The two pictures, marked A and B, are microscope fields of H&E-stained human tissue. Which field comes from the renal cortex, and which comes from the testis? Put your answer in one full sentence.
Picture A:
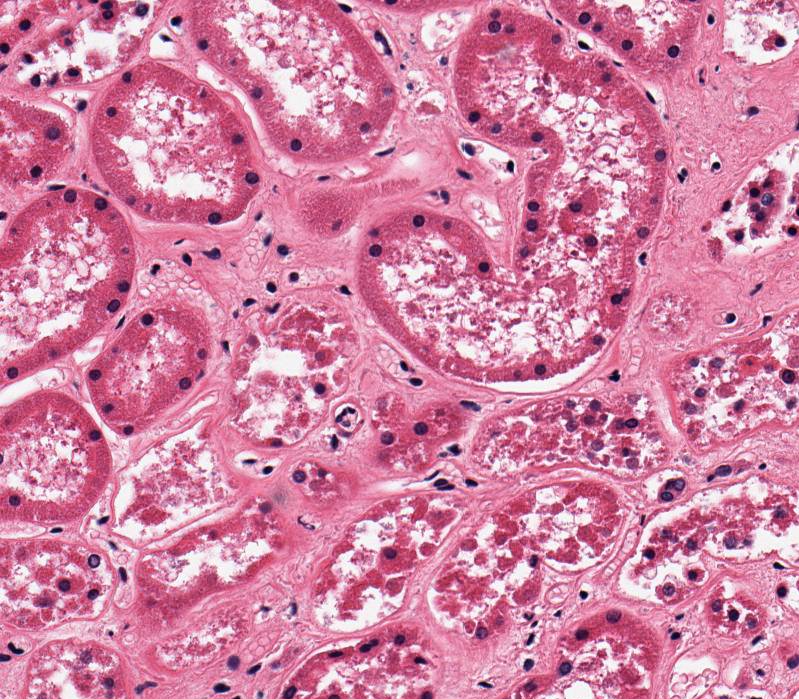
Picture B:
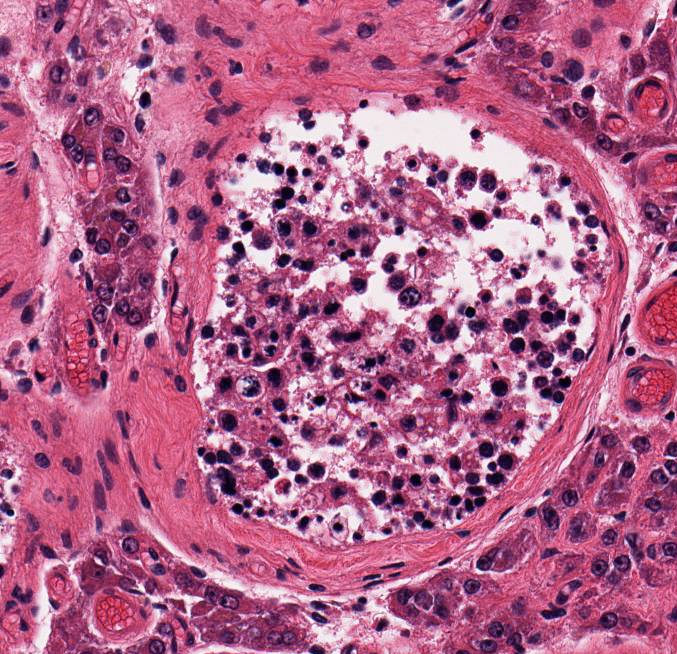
Picture A comes from the renal cortex; picture B comes from the testis.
